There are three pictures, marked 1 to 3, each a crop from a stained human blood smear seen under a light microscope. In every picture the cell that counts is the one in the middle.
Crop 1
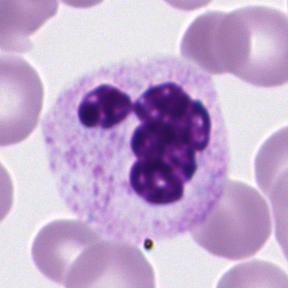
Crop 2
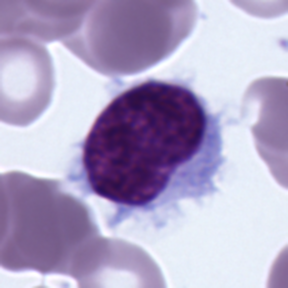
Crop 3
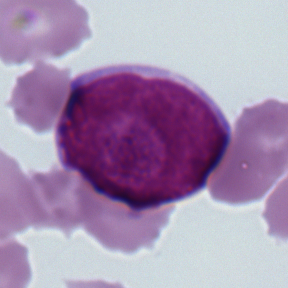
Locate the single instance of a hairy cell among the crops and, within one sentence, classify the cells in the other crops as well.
In crop 2 the central cell is a hairy cell, while crop 1 is a segmented neutrophil and crop 3 is a myeloblast.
